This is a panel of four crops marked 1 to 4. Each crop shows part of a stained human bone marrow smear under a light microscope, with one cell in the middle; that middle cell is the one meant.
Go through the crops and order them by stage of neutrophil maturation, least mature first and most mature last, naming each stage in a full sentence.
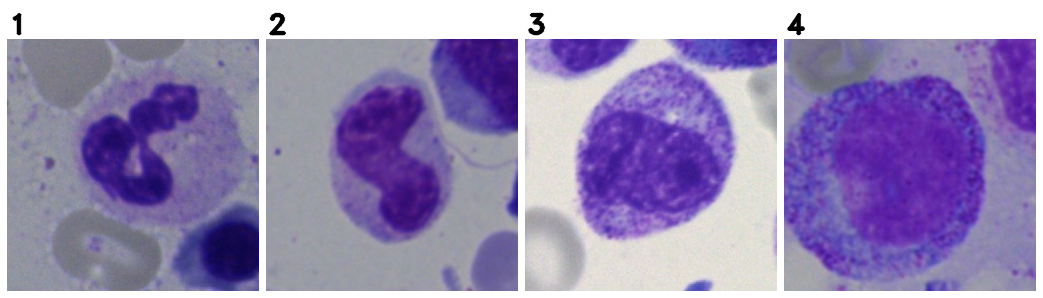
The correct order, least to most mature, is crop 4 (a promyelocyte), crop 3 (a myelocyte), crop 2 (a band neutrophil) and crop 1 (a segmented neutrophil).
